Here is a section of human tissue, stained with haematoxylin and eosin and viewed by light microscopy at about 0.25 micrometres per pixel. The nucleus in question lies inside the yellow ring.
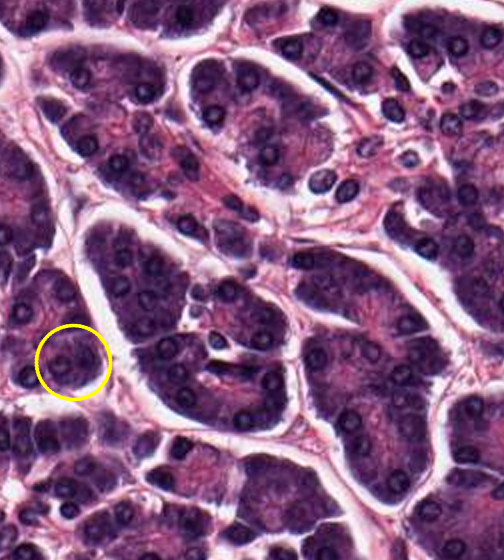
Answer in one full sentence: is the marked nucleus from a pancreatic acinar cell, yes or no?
Yes, the marked nucleus, in this picture, is that of a pancreatic acinar cell.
